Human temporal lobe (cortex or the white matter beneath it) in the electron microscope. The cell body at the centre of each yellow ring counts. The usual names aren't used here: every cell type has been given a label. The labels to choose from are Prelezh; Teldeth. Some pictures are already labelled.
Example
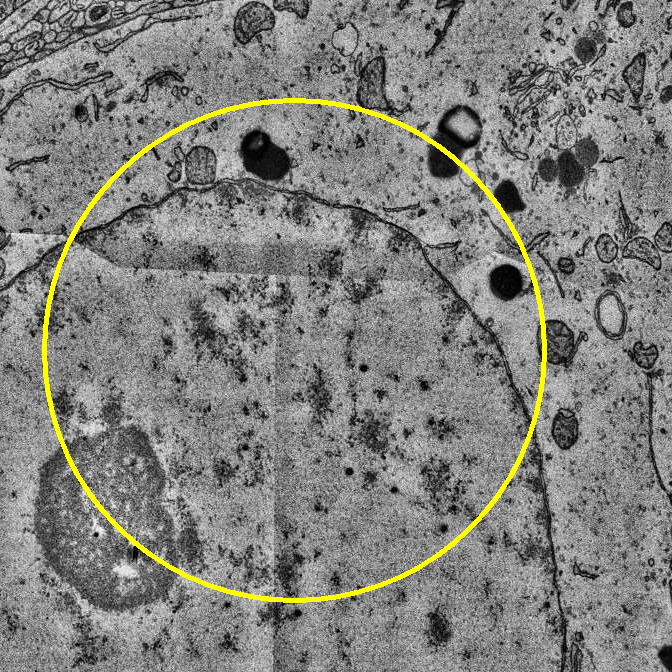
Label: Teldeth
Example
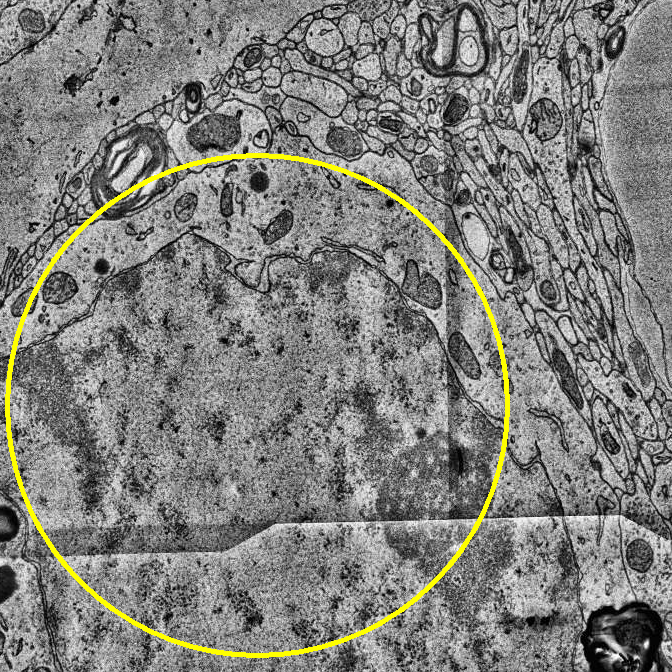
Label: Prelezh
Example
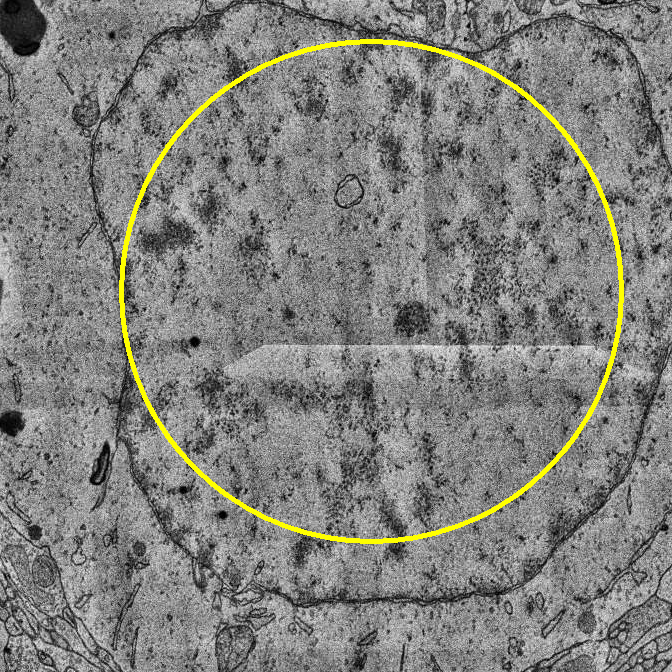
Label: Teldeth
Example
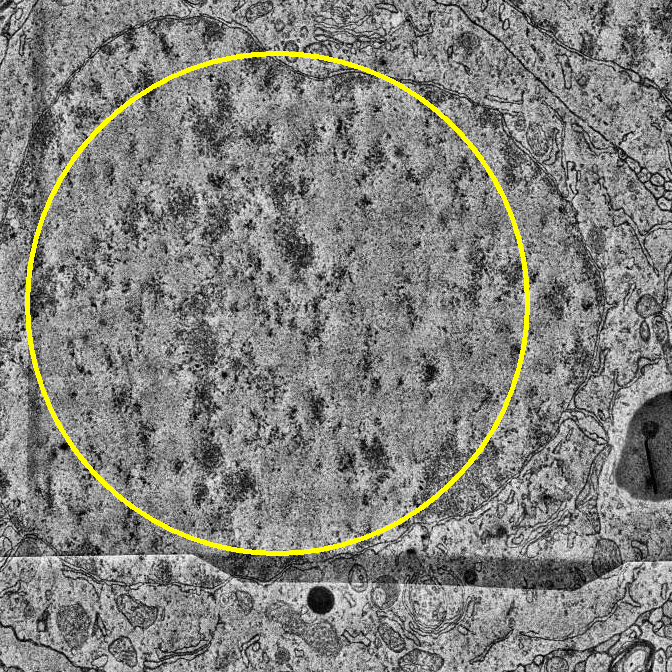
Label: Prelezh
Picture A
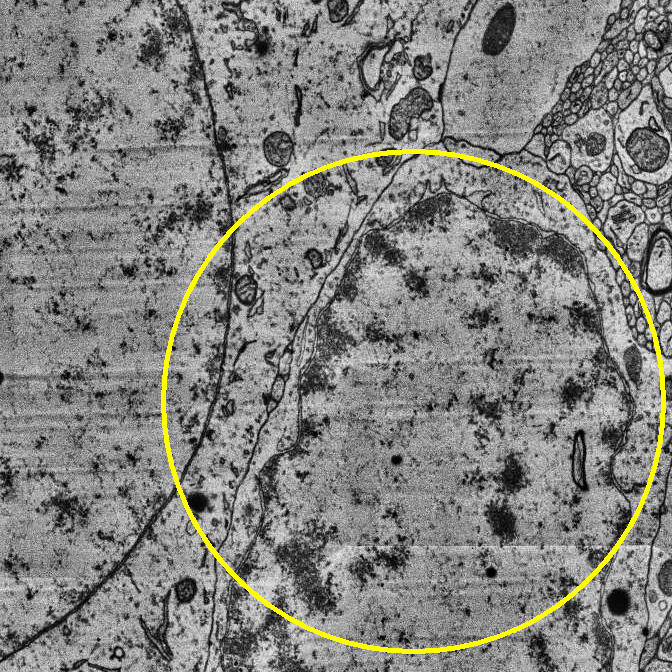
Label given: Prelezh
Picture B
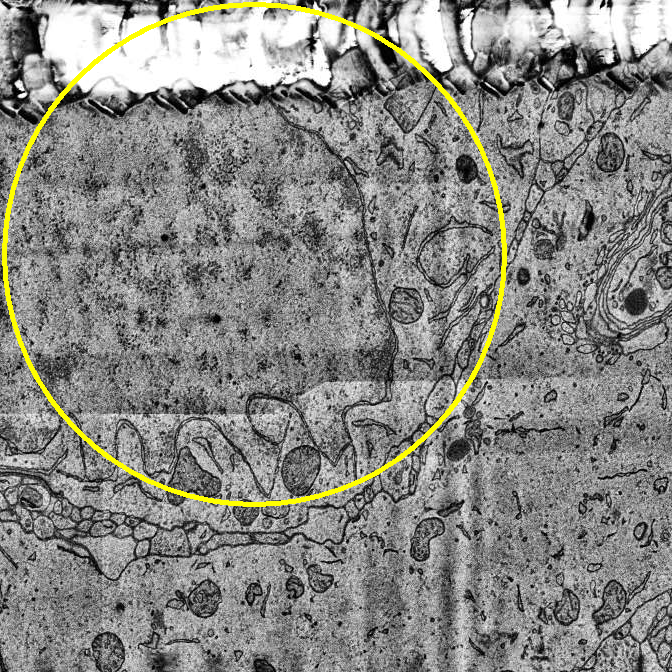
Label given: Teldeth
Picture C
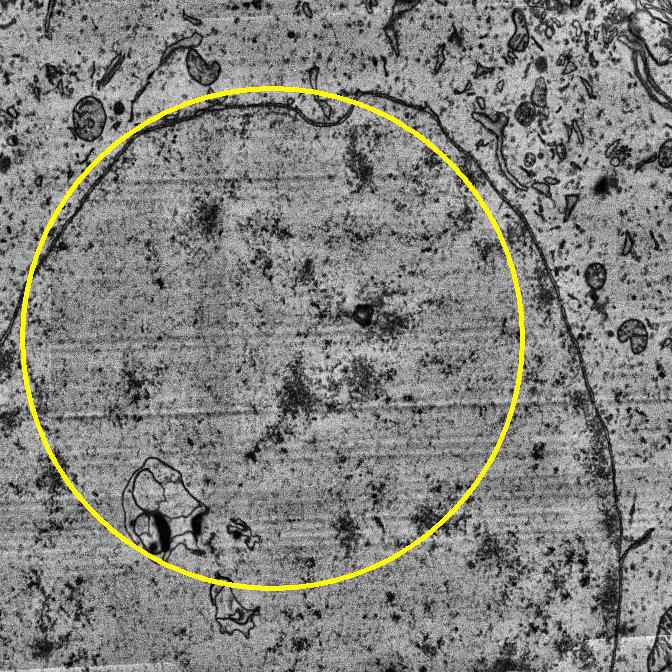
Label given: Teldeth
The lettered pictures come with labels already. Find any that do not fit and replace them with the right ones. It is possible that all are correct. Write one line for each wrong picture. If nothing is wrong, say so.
Wrong: B (Teldeth); correct: Prelezh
